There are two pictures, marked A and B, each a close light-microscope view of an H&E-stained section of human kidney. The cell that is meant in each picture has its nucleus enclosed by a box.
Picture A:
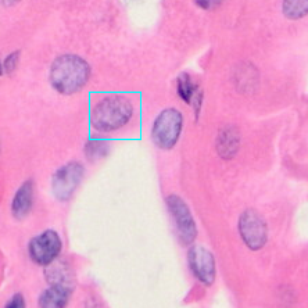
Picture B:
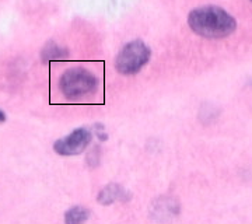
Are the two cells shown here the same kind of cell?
no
